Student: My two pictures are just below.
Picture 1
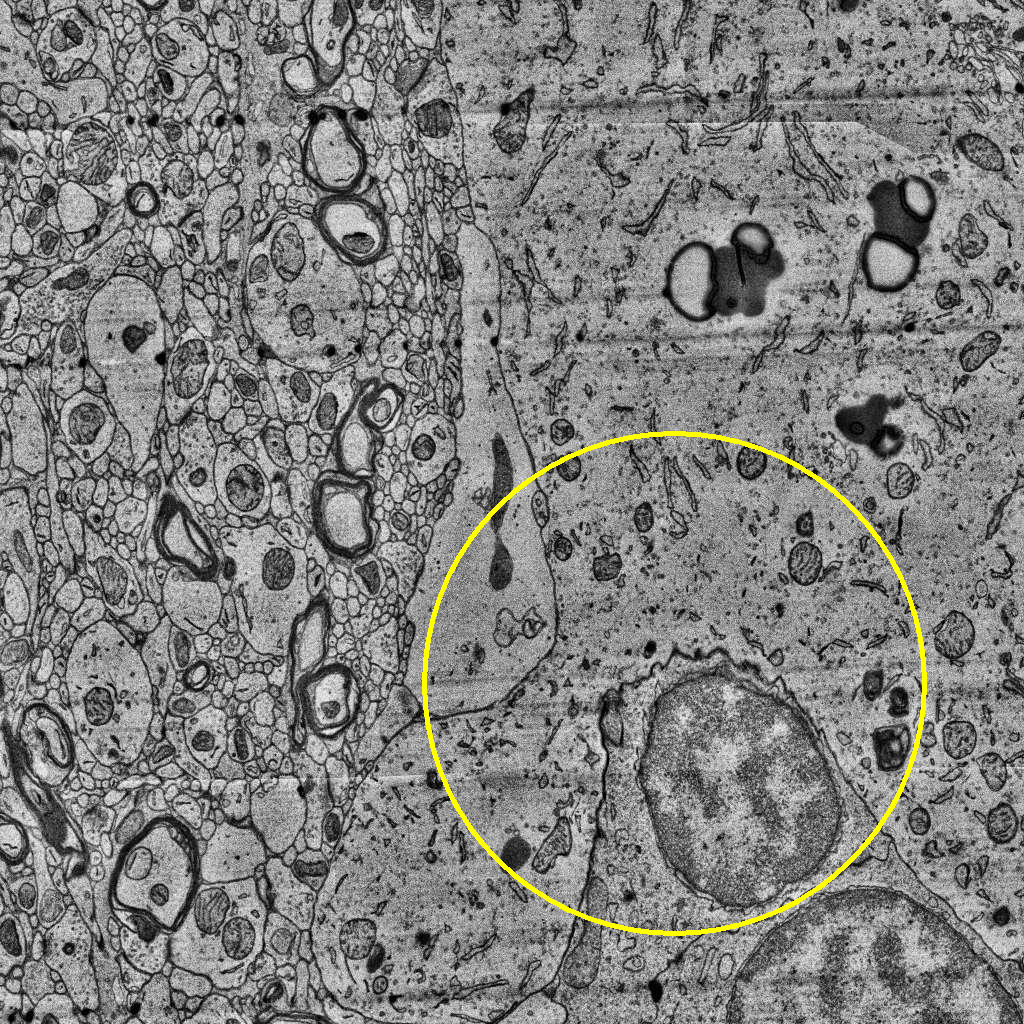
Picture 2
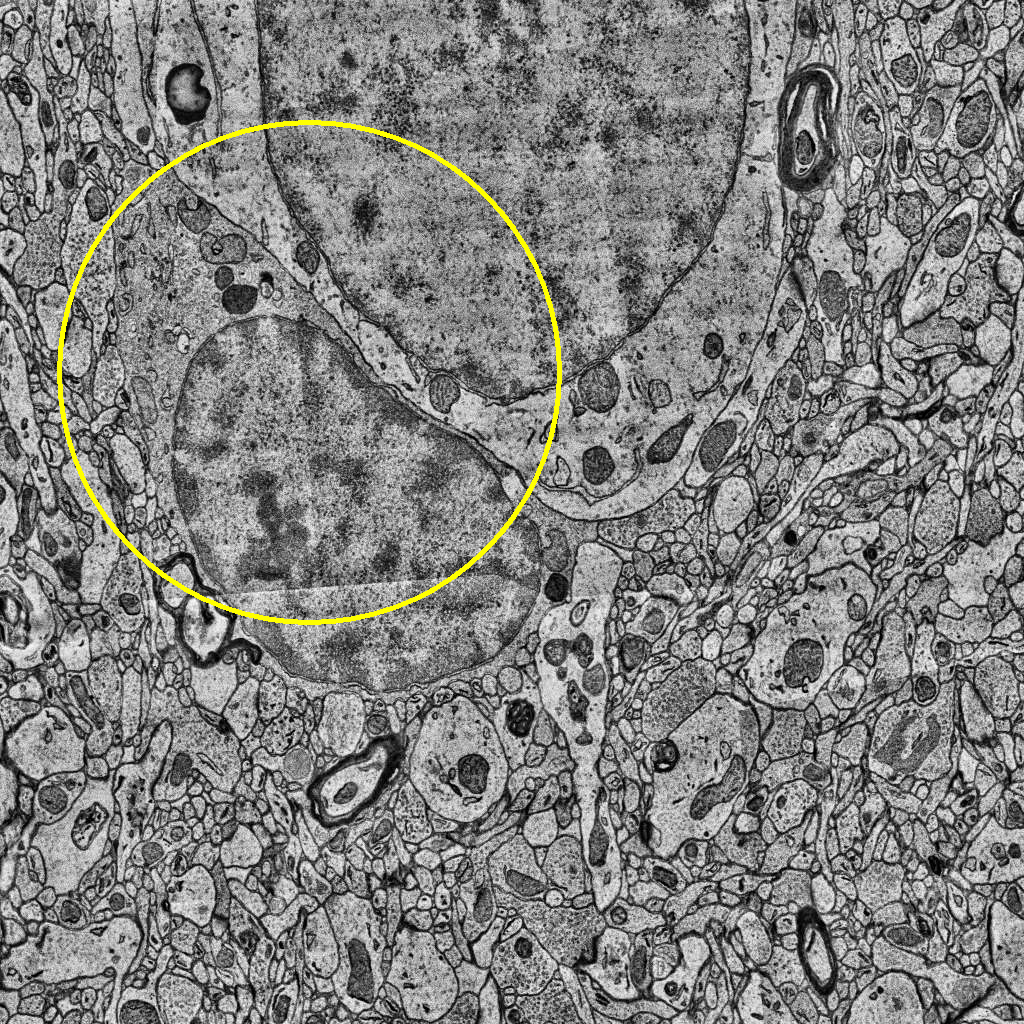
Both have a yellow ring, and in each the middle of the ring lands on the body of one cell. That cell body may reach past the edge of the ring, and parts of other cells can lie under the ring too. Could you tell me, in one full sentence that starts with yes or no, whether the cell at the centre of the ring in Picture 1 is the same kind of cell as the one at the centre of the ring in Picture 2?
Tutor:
Yes, the two cells are of the same kind.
